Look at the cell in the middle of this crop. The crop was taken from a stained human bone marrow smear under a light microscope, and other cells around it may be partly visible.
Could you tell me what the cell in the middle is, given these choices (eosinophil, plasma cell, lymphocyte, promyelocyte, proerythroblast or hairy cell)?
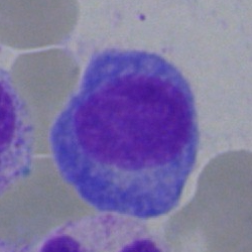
plasma cell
